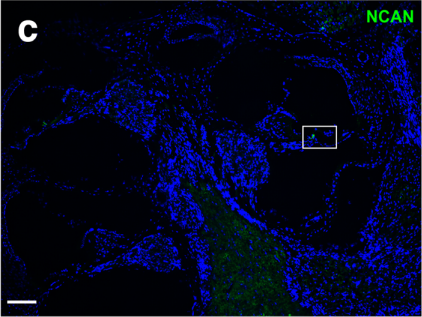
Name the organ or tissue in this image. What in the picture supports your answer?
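Several fluid-filled chambers arranged around a central core. Membranes divide the chambers into compartments typical of a spiral organ in section.
Cochlea.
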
